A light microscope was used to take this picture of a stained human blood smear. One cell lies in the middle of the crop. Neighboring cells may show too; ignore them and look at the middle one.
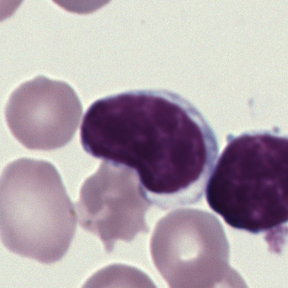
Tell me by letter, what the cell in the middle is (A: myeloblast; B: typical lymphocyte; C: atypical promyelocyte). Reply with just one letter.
B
